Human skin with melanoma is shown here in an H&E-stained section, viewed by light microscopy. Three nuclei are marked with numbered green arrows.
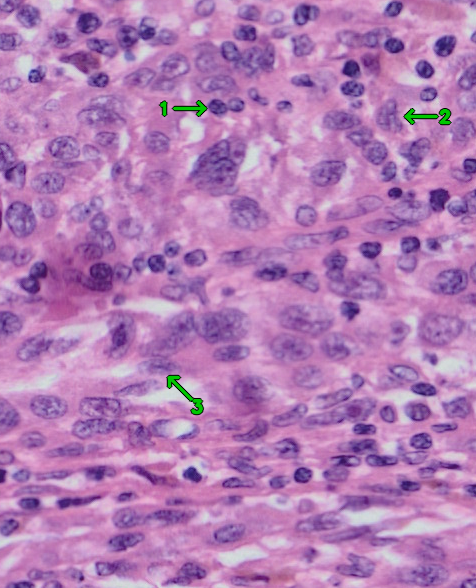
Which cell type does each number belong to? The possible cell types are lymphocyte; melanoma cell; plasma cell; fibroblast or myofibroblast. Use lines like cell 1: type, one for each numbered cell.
cell 1: lymphocyte
cell 2: melanoma cell
cell 3: melanoma cell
